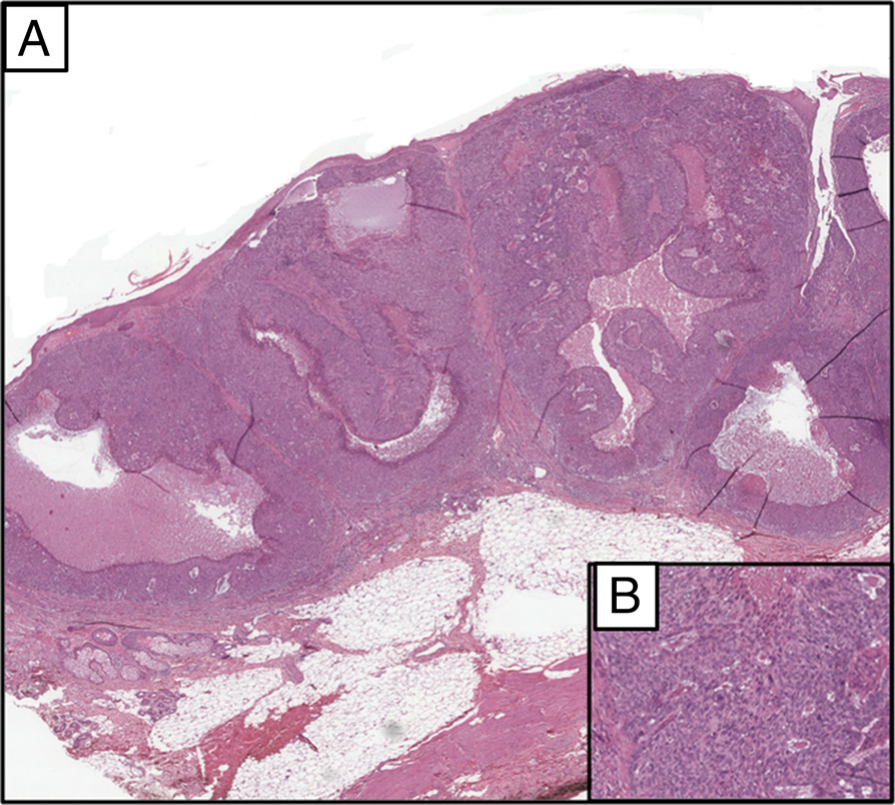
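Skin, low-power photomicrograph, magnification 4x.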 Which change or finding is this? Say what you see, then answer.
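Large areas of necrosis. Pale, washed-out pink areas without intact cells lie in the centres of the purple tumour lobules. These pale areas are surrounded by rims of dense, dark purple cells.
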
